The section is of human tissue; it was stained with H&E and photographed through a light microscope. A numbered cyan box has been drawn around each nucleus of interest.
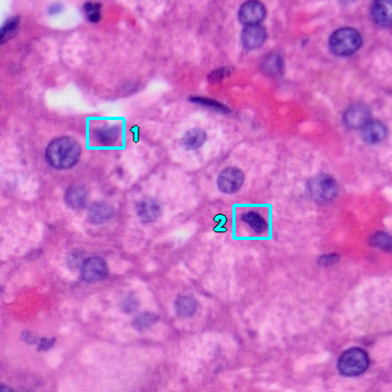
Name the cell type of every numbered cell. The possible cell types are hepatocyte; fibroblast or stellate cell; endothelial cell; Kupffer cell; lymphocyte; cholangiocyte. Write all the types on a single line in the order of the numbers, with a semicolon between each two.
endothelial cell; fibroblast or stellate cell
